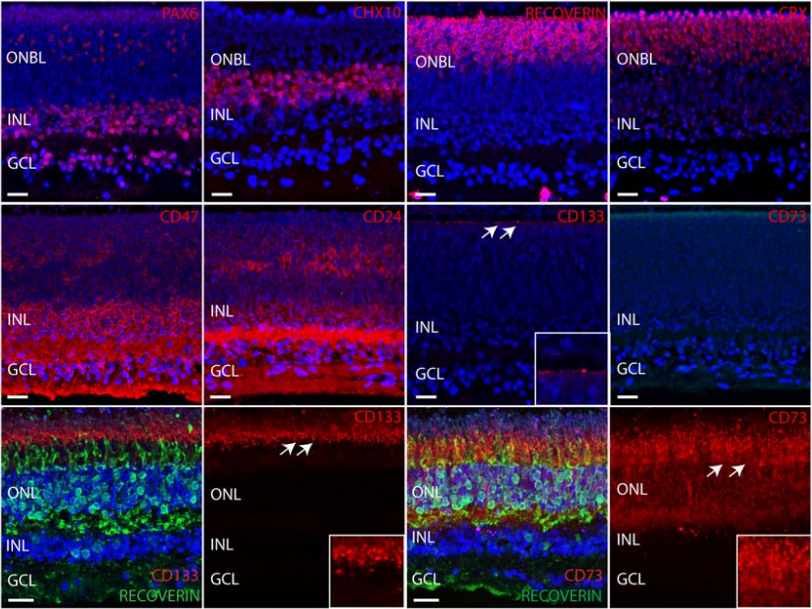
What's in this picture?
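In the developing retina a thick outer band of crowded, elongated nuclei sits above a narrower inner band of nuclei, with a sparse row of larger, rounder nuclei at the inner edge. Red labelling differs from frame to frame: some frames mark nuclei in the inner bands, others mark the outermost band, and two frames show red spread through all layers with an especially bright band near the inner part. In one mature frame, red fills the region of these outer processes, extending down through the outer nuclear band.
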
